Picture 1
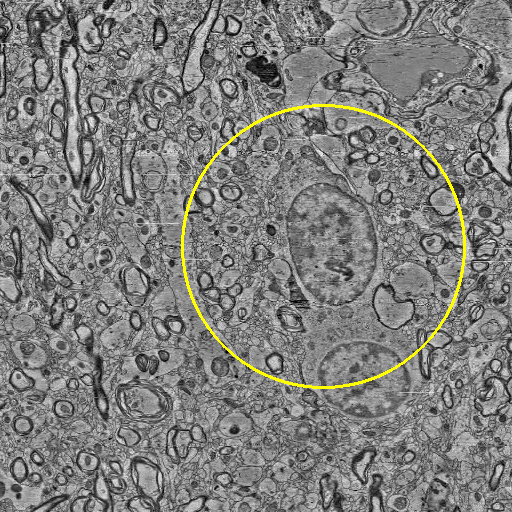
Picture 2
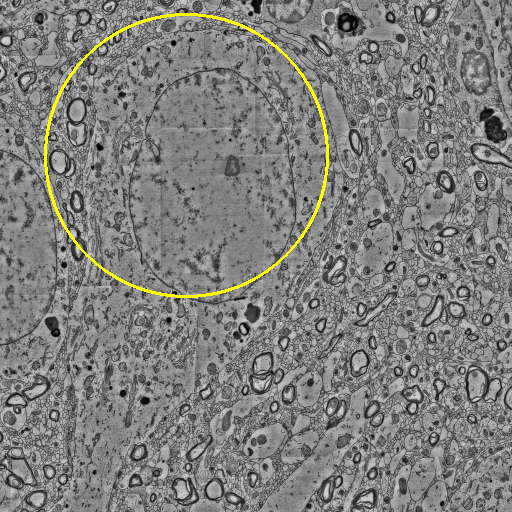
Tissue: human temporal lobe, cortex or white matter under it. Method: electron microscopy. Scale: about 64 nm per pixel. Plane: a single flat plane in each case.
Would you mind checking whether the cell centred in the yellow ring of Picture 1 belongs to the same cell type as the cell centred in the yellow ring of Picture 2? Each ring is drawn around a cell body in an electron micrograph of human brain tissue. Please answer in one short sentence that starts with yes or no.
No, the two cells are of two types.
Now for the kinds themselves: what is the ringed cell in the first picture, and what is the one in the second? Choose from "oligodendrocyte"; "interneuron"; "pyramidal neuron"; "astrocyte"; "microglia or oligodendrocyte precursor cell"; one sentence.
Here the first cell is an oligodendrocyte and the second cell is a pyramidal neuron.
